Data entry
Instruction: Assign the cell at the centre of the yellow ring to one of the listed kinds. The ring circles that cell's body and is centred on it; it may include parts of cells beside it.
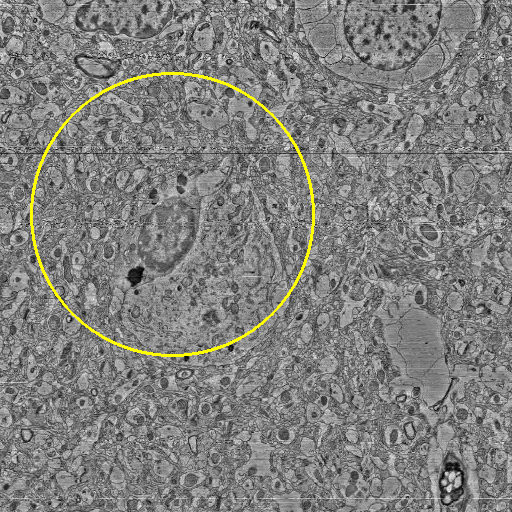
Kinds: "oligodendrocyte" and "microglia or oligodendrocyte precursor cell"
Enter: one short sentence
The centre of the ring falls on an oligodendrocyte.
